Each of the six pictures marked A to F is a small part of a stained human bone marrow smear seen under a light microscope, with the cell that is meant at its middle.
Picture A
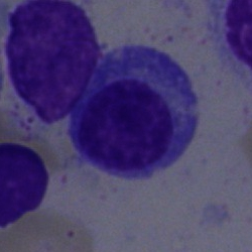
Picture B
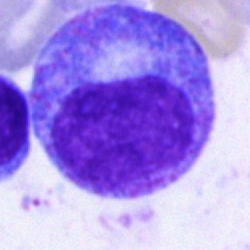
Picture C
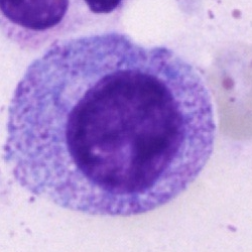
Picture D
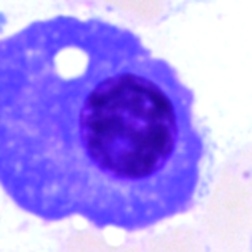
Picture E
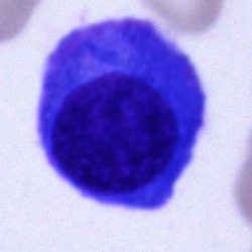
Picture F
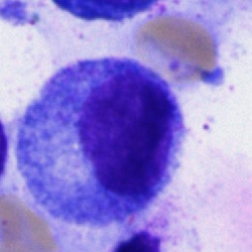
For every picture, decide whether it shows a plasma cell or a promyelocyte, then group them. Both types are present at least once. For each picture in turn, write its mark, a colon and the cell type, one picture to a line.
A: plasma cell
B: promyelocyte
C: promyelocyte
D: plasma cell
E: plasma cell
F: promyelocyte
